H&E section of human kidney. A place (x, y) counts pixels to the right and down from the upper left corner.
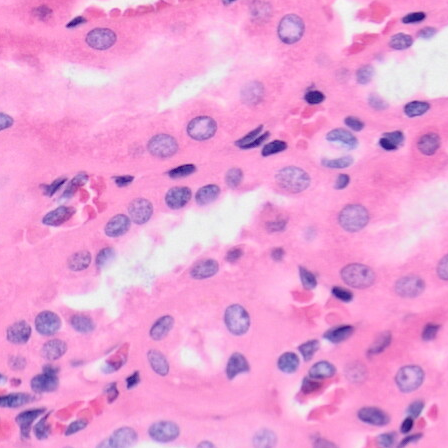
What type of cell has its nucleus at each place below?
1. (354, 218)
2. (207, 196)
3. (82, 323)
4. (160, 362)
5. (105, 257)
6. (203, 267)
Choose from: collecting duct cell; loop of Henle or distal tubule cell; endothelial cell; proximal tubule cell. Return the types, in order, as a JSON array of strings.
["proximal tubule cell", "loop of Henle or distal tubule cell", "loop of Henle or distal tubule cell", "proximal tubule cell", "loop of Henle or distal tubule cell", "loop of Henle or distal tubule cell"]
